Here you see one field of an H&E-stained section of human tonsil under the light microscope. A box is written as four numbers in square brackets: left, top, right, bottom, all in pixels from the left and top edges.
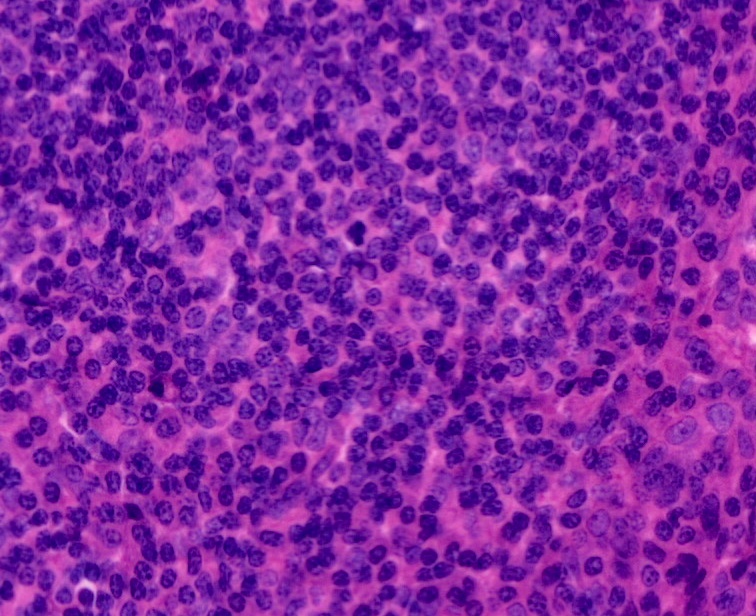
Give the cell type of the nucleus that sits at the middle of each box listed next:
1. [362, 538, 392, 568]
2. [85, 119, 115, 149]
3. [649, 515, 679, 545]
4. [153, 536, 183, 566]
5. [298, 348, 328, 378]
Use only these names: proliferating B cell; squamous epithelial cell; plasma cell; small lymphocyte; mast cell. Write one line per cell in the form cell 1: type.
cell 1: plasma cell
cell 2: small lymphocyte
cell 3: plasma cell
cell 4: plasma cell
cell 5: small lymphocyte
